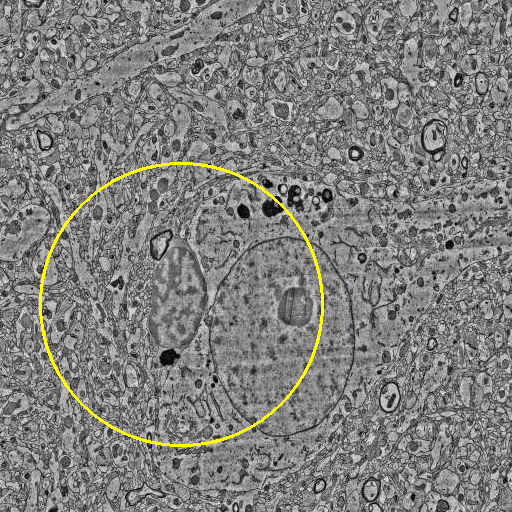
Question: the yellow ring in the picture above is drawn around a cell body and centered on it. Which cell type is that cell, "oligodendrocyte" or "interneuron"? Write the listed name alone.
oligodendrocyte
